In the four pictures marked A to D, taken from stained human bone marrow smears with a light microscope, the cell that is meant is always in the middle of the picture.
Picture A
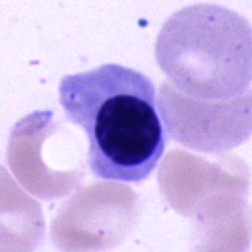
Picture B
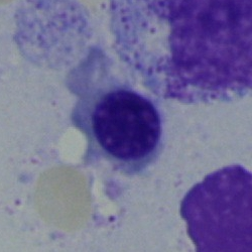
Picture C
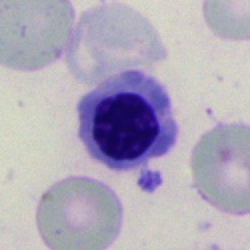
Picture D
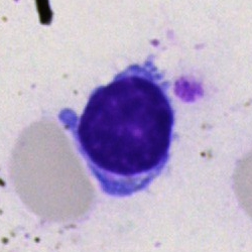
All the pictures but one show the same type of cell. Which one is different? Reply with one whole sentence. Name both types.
The different one is picture D; it shows a lymphocyte, whereas all the others show erythroblasts.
